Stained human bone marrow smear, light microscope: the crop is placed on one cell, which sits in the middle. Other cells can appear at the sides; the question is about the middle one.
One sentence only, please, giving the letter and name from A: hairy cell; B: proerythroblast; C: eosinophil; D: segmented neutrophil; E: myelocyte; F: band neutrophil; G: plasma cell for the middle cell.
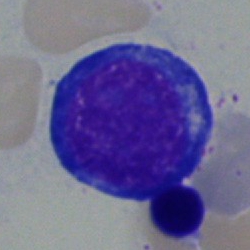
This one is option B, since the cell at the center is a proerythroblast.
